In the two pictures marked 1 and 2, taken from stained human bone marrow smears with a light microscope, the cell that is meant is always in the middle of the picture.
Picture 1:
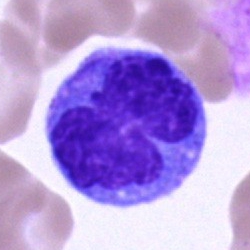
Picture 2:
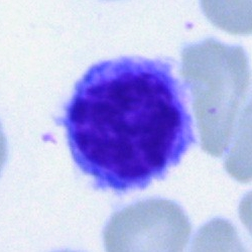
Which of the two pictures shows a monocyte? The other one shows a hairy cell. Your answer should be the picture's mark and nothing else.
1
